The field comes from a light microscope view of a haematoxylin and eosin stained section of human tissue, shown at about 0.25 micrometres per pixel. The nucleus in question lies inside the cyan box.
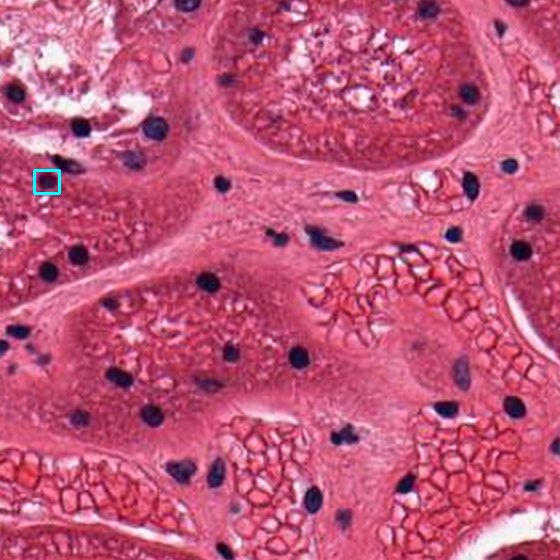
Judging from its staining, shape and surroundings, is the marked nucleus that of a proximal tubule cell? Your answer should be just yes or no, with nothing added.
yes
